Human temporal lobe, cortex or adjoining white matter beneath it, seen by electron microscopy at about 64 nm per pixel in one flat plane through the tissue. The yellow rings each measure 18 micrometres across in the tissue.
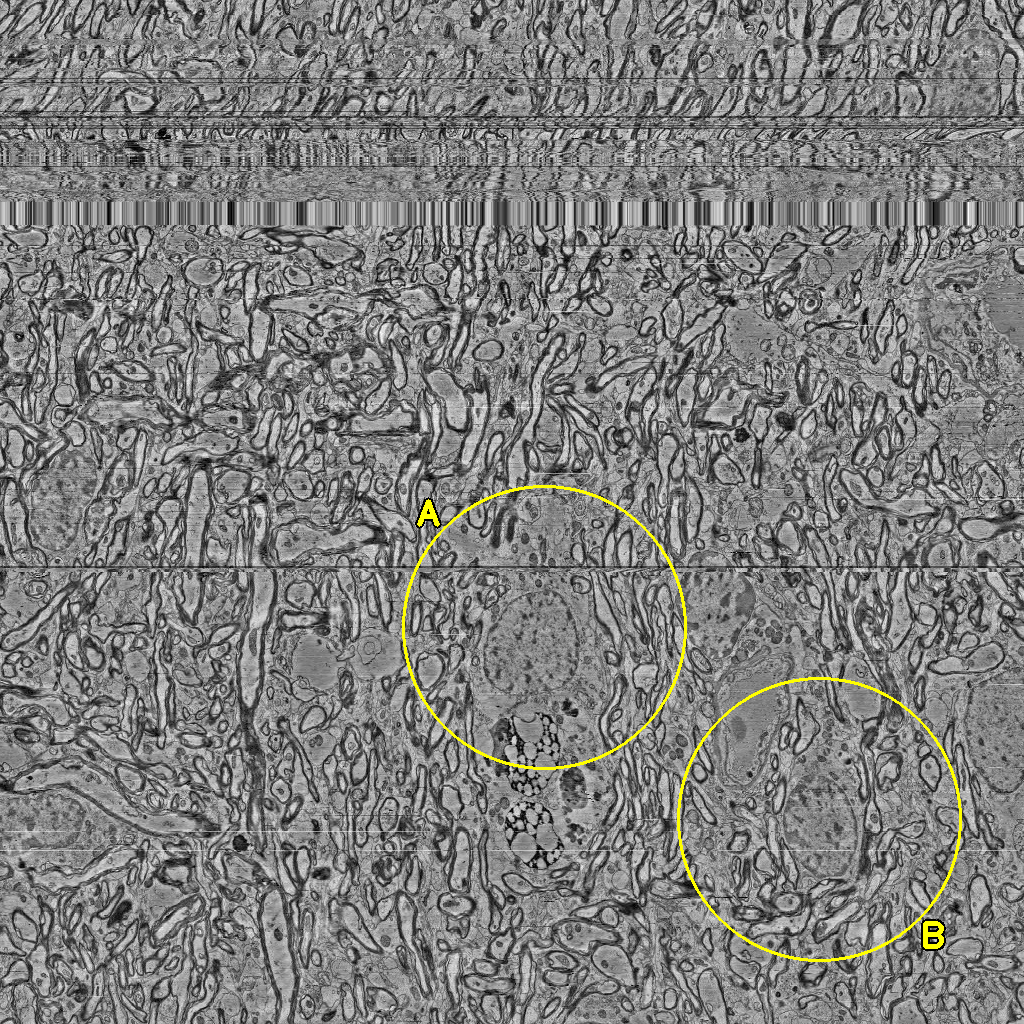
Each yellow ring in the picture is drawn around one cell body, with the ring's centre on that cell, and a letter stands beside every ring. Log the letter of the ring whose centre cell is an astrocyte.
A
